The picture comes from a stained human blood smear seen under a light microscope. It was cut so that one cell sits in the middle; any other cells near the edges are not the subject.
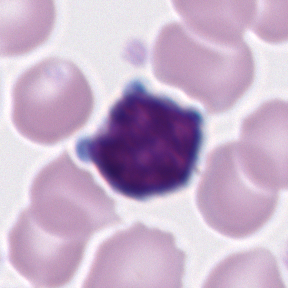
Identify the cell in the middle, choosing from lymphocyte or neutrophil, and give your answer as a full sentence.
This crop's central cell is a lymphocyte.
